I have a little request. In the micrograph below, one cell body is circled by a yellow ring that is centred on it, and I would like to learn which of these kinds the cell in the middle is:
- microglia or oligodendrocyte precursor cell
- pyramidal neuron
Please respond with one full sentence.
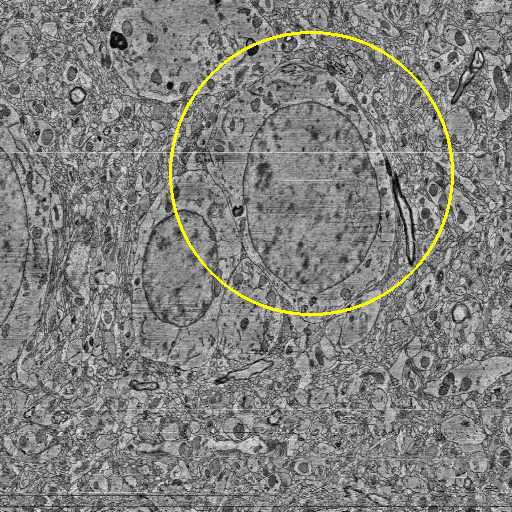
The cell sitting in the middle of the yellow ring in the micrograph is a pyramidal neuron.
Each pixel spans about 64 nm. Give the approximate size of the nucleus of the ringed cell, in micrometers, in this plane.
The nucleus comes to roughly 12 by 9 micrometres in this plane.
